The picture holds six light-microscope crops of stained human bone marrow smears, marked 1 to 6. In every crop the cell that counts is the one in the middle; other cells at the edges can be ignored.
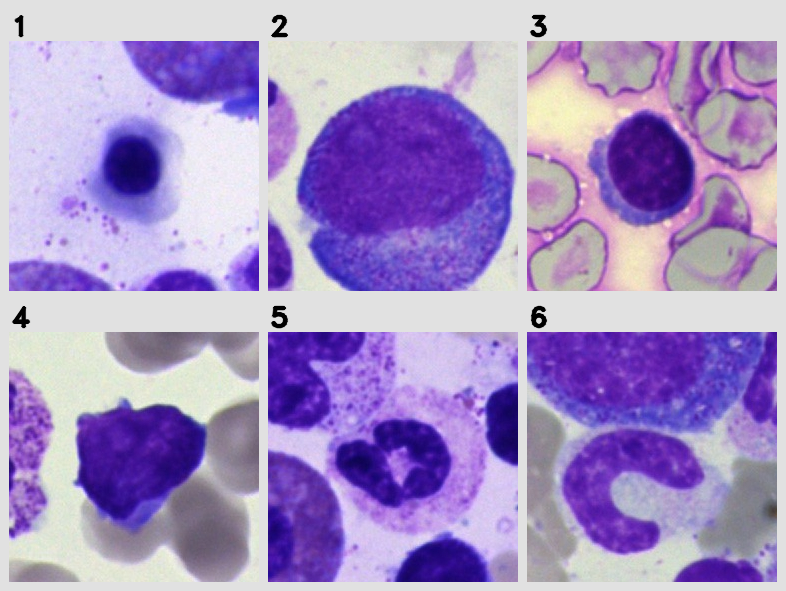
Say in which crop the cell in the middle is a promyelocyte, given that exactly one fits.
2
